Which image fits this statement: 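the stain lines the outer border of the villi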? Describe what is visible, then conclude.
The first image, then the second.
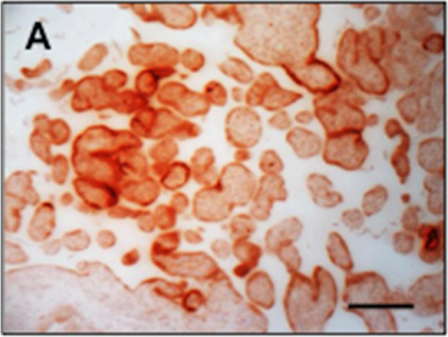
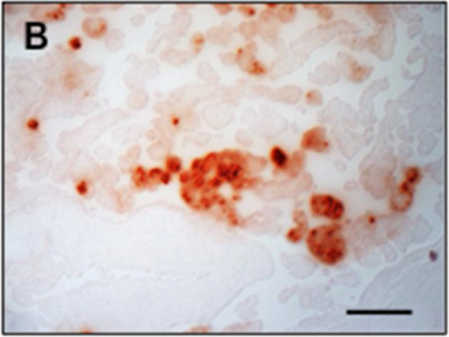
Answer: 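Second image: red deposits lie as clumps inside the villi, borders unstained. So: the first image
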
